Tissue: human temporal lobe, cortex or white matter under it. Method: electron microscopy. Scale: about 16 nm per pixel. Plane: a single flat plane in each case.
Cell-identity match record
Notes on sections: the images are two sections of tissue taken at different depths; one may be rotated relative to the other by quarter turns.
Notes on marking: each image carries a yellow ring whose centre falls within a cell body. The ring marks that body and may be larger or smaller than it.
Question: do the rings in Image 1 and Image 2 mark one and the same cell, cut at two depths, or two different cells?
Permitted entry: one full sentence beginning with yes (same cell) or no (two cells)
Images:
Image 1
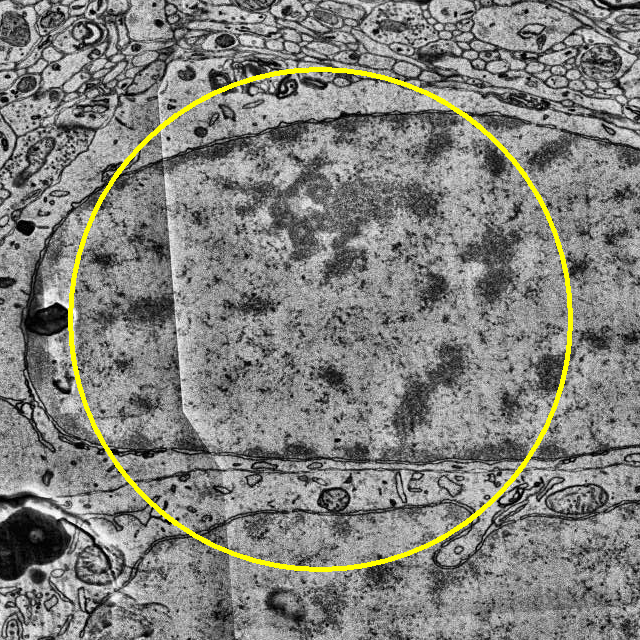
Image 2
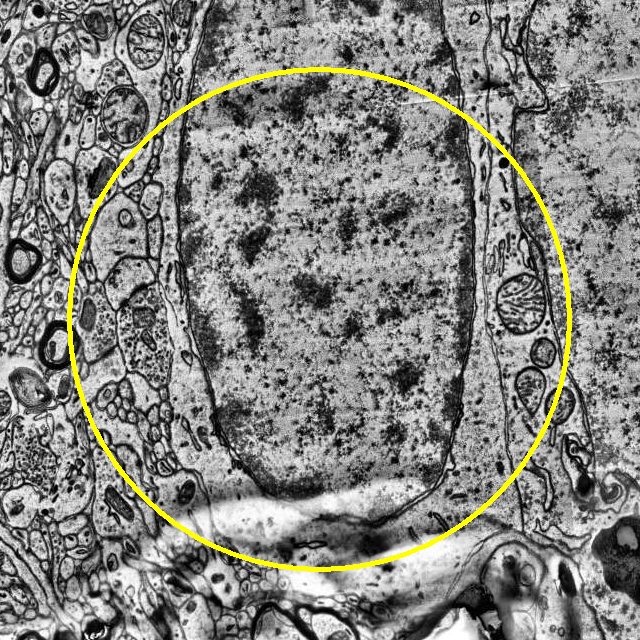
Yes, the second ring marks the same cell as the first.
